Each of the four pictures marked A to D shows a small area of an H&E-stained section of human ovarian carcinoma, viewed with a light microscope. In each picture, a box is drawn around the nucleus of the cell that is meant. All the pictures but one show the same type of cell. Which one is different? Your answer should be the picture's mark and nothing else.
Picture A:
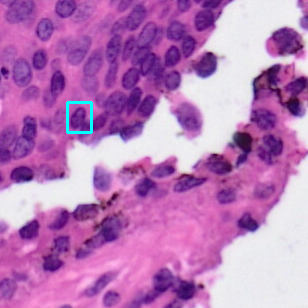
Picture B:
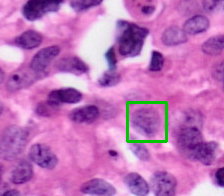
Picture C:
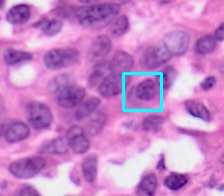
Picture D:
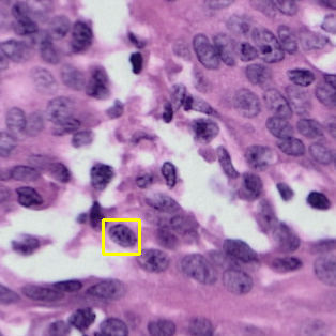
D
